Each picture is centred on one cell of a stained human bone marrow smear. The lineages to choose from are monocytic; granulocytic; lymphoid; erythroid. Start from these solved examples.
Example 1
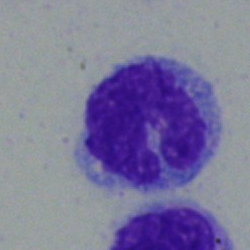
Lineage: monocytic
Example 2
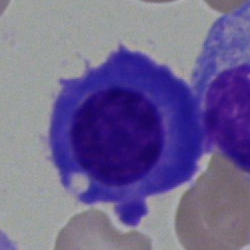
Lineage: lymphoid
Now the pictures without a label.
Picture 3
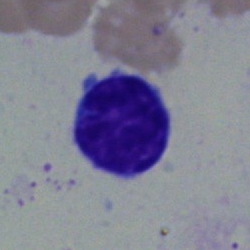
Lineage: lymphoid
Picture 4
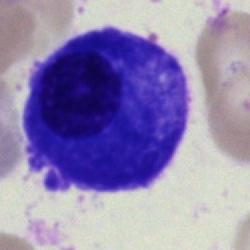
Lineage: lymphoid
